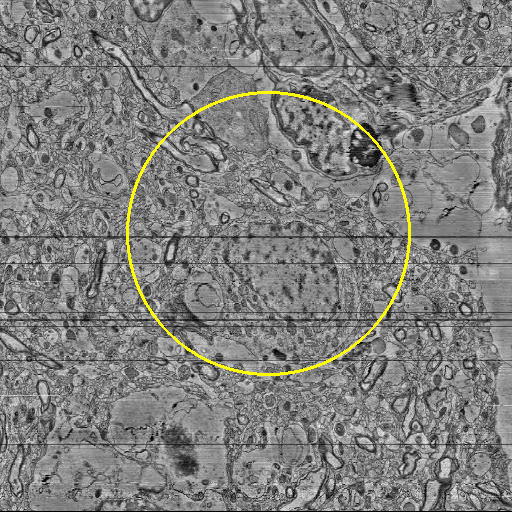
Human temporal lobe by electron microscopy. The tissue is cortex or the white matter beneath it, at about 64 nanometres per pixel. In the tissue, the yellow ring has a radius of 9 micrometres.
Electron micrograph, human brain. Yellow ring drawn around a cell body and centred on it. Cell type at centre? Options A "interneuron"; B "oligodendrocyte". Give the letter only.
A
